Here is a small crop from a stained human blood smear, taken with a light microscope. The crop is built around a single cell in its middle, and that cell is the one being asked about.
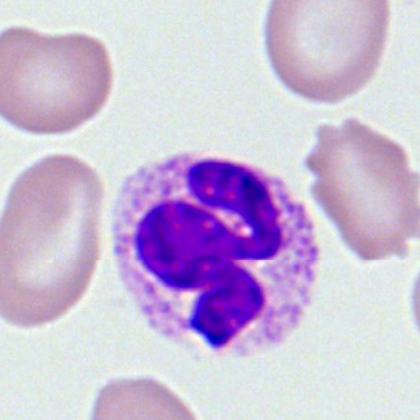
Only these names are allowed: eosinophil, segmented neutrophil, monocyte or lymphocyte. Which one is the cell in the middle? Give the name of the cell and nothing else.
segmented neutrophil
